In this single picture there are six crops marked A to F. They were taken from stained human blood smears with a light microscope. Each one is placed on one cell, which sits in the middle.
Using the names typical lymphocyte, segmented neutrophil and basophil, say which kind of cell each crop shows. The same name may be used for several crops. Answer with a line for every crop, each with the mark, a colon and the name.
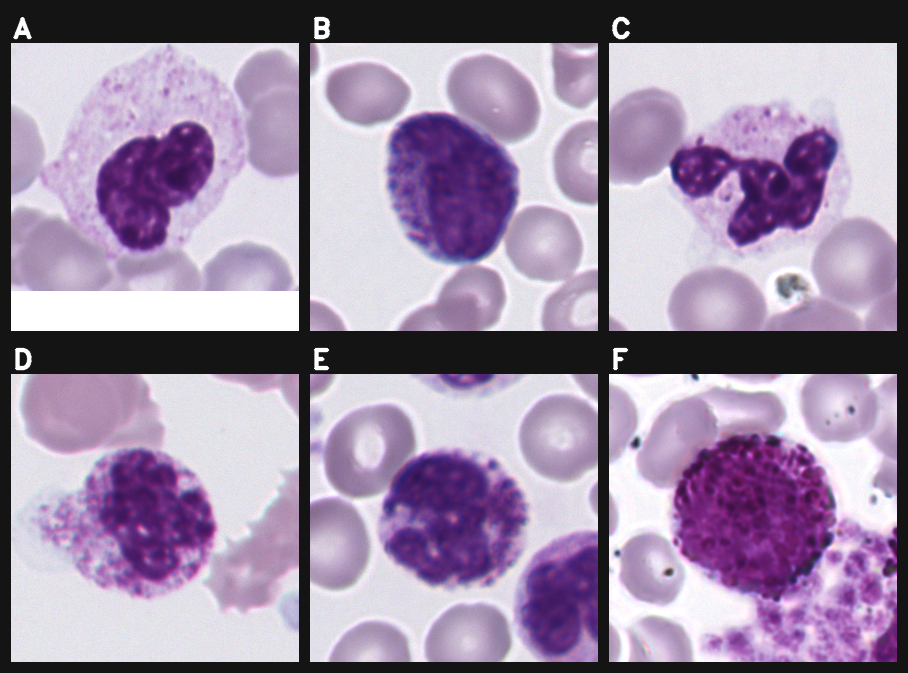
A: segmented neutrophil
B: basophil
C: segmented neutrophil
D: segmented neutrophil
E: basophil
F: basophil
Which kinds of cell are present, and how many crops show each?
segmented neutrophil: 3
basophil: 3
